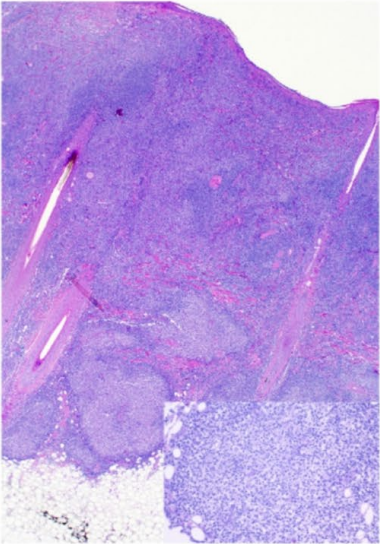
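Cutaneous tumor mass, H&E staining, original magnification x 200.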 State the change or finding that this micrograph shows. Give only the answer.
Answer: Dense bottom-heavy dermal atypical lymphoid infiltrate.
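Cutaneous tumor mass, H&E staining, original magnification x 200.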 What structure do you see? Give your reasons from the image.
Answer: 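Rounded paler nodules lie in the lower part of the infiltrate. The nodules are rimmed by darker blue cells. The nodules border the subcutaneous fat.
Neoplastic germinal-center-like structures.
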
